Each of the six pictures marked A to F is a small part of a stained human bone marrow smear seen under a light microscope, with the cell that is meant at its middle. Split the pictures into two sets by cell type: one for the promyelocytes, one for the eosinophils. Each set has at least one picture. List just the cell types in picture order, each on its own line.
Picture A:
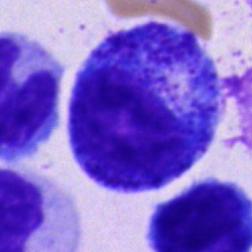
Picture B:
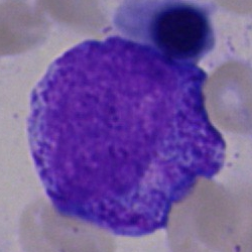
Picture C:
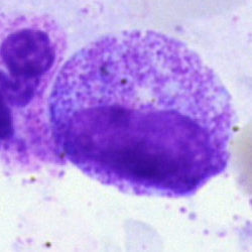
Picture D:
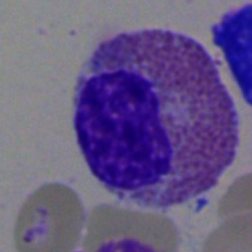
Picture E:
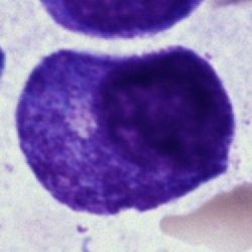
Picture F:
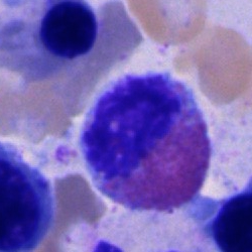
promyelocyte
promyelocyte
promyelocyte
eosinophil
promyelocyte
eosinophil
